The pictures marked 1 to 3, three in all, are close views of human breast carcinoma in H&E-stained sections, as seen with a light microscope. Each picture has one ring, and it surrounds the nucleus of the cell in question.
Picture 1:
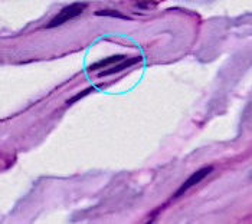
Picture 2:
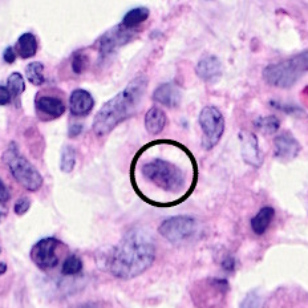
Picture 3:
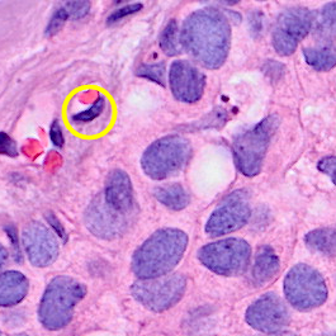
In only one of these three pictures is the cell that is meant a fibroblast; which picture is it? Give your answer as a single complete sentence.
Picture 1 is the one that shows the fibroblast.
